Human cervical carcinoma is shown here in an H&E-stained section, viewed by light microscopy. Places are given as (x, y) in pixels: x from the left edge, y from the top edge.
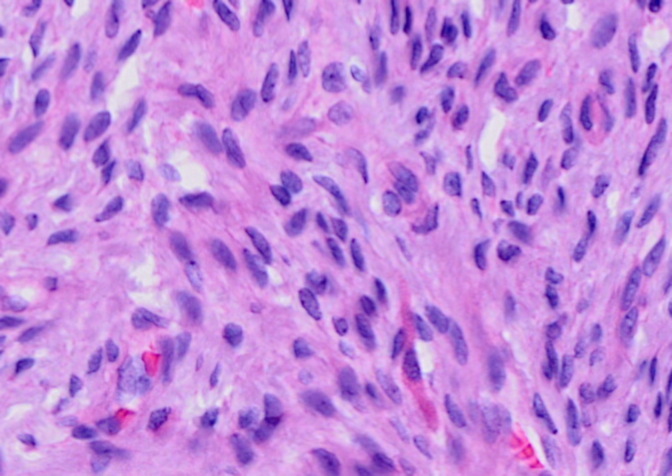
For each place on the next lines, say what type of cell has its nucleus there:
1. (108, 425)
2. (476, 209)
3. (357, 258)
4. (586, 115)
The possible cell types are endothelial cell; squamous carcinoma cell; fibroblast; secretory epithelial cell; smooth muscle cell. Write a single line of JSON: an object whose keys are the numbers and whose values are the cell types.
{"1": "endothelial cell", "2": "fibroblast", "3": "fibroblast", "4": "endothelial cell"}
